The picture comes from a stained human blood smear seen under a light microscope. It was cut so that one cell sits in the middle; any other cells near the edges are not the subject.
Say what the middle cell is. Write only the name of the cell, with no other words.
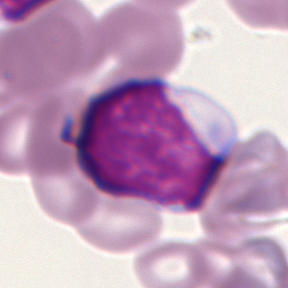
large granular lymphocyte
